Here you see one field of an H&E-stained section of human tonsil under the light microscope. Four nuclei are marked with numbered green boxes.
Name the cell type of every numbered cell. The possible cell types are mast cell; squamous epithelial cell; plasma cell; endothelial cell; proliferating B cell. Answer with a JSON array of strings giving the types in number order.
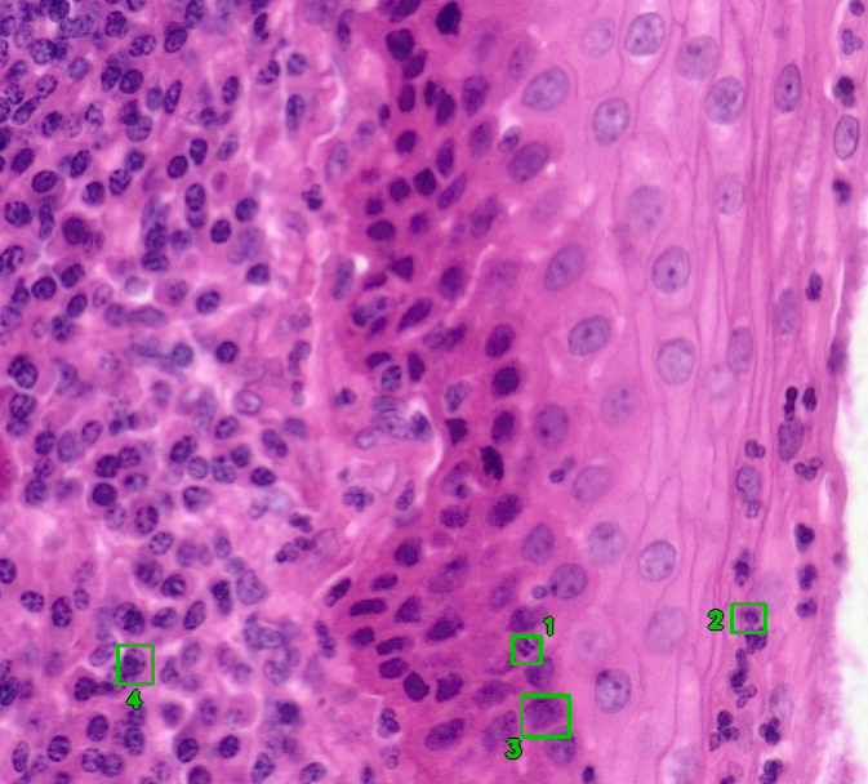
["squamous epithelial cell", "squamous epithelial cell", "squamous epithelial cell", "plasma cell"]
